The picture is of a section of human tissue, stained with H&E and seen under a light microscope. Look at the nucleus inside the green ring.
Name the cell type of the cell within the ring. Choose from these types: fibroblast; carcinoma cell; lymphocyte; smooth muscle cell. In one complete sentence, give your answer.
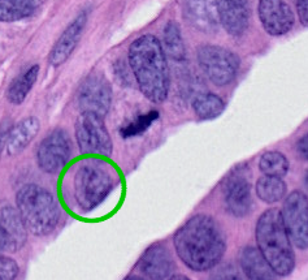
Labelled by cell type, the cell within the ring is a carcinoma cell.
